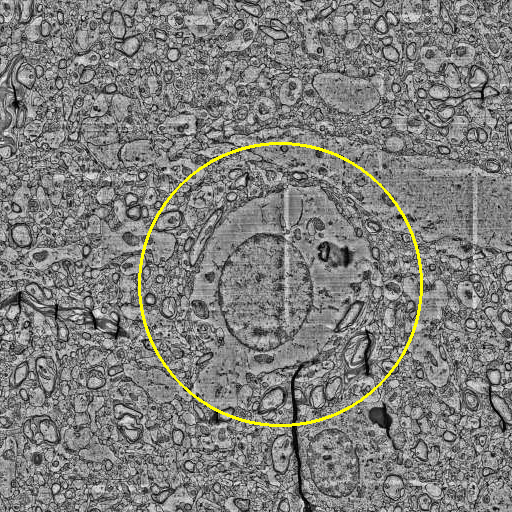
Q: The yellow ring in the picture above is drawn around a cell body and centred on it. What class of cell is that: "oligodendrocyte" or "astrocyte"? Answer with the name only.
astrocyte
